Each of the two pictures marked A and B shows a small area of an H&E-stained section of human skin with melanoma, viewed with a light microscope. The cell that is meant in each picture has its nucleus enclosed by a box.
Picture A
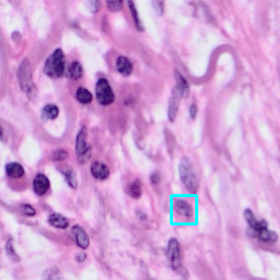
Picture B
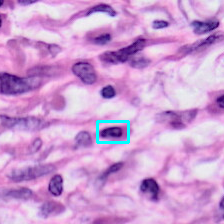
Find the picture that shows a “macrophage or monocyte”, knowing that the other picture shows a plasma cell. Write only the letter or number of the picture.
A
